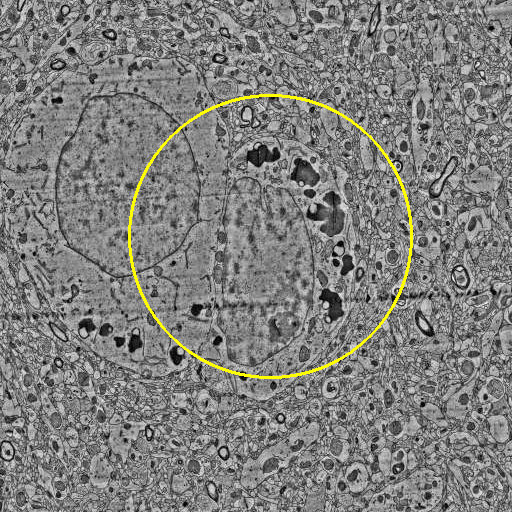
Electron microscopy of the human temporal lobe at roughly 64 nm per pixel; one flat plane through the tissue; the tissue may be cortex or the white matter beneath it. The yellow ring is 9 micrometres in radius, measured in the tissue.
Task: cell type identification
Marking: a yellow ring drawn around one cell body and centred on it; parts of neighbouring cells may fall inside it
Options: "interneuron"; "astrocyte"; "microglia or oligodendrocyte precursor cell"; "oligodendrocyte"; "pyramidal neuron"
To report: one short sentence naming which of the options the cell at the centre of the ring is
The cell at the centre of the ring is an interneuron.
